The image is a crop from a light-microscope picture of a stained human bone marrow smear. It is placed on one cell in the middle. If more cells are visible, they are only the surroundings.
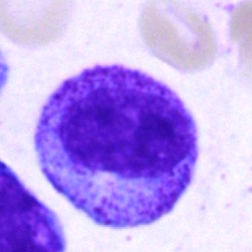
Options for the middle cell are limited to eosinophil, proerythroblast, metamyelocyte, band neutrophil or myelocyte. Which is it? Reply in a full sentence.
Answering briefly, the cell in the middle is a myelocyte.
